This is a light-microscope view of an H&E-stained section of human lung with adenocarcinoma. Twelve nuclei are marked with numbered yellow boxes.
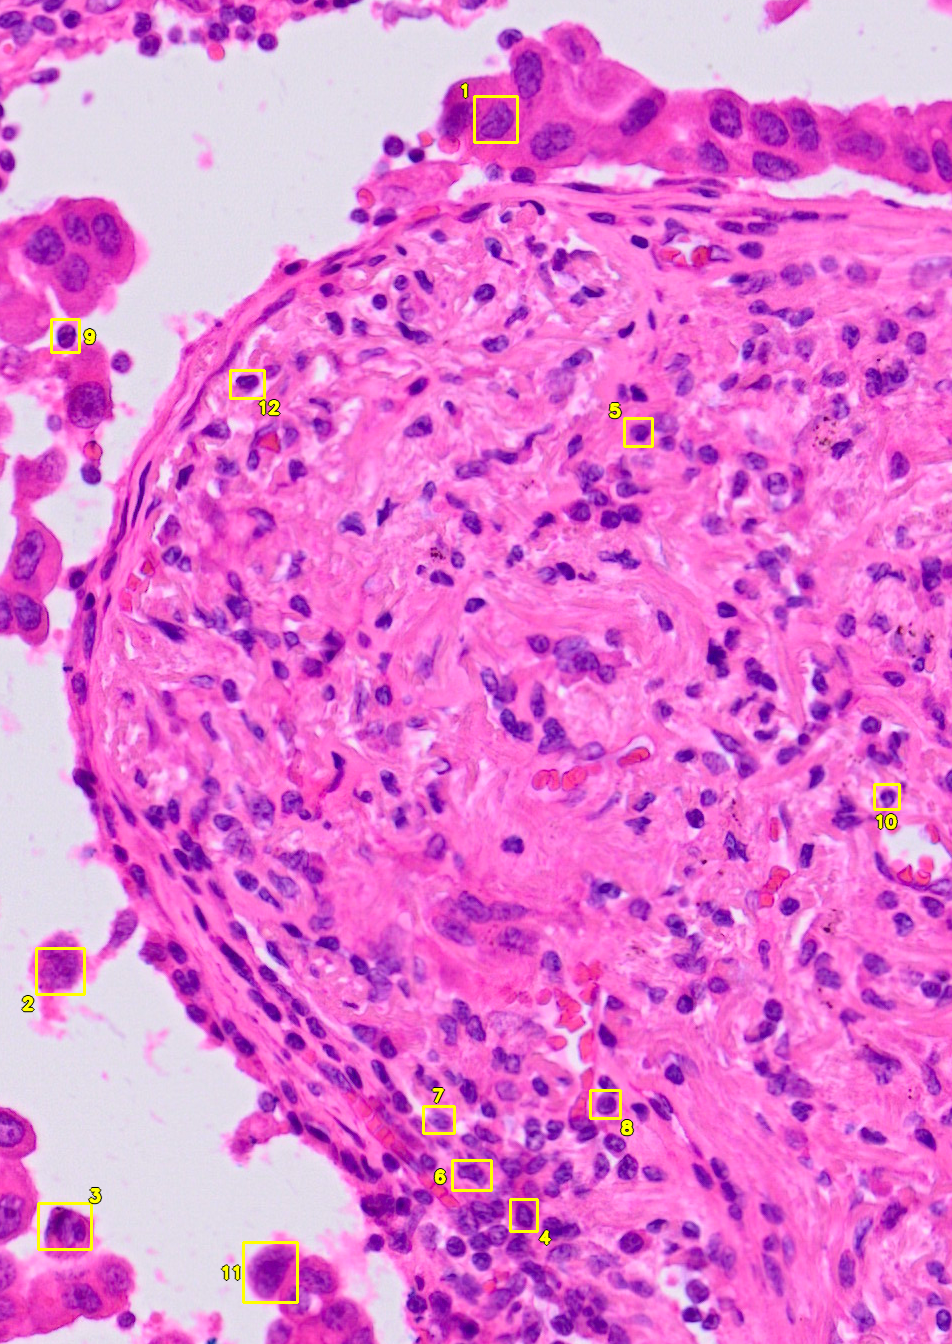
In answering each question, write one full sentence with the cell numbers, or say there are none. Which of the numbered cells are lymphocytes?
Identification: the cells with numbers 5, 6, 7, 8, 9, 10 and 12 are lymphocytes.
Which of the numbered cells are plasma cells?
Cell 4 is a plasma cell, whereas each of the other numbered cells is not.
